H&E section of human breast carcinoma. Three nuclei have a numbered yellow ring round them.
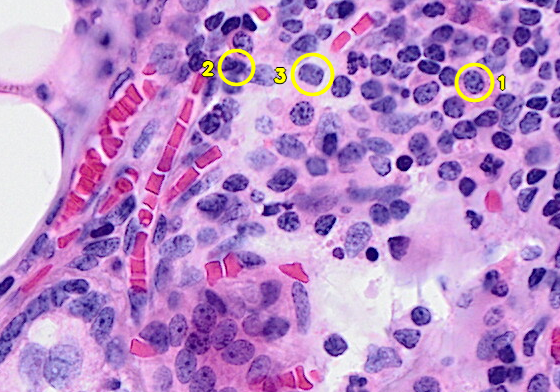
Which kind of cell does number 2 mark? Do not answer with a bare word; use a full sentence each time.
The cell that bears the number 2 is a lymphocyte.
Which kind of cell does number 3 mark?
In the marked set, the cell given number 3 is a lymphocyte.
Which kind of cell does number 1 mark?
Looking at the numbered marks, cell 1 is a mast cell.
